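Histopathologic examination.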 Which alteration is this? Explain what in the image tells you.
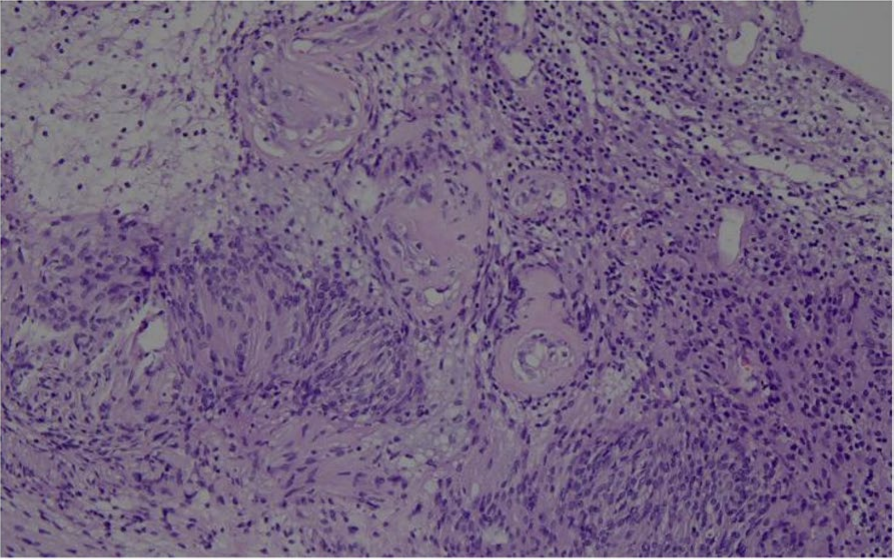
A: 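Benign schwannoma. Spindle-shaped cells with elongated nuclei lie in interlacing fascicles. Thick-walled, pink, hyalinized vessels are scattered among the spindle cells. Looser, pale, sparsely cellular areas lie beside denser cellular areas.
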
